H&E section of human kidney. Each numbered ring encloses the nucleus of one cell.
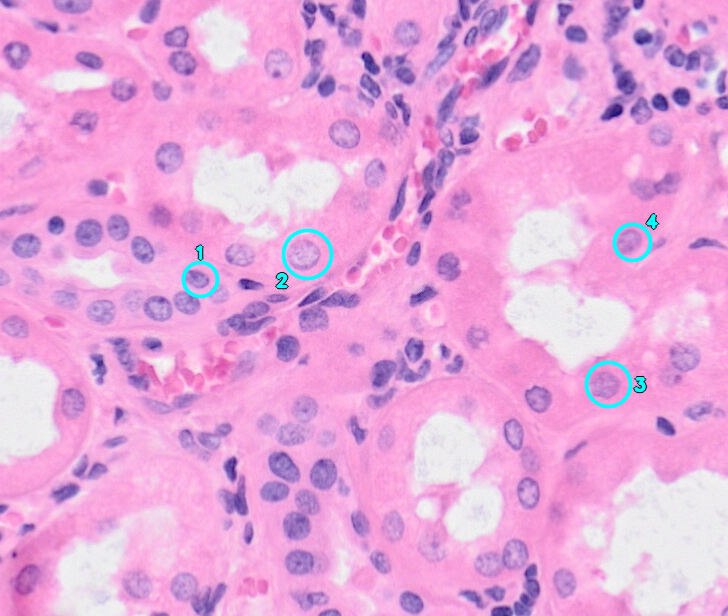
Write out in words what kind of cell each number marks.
Cell 1 is a collecting duct cell. Cells 2, 3 and 4 are proximal tubule cells.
